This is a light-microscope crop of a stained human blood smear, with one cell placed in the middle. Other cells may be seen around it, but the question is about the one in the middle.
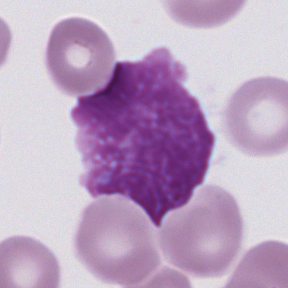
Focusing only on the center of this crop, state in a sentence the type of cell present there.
For this crop, the central cell is a smudge cell.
